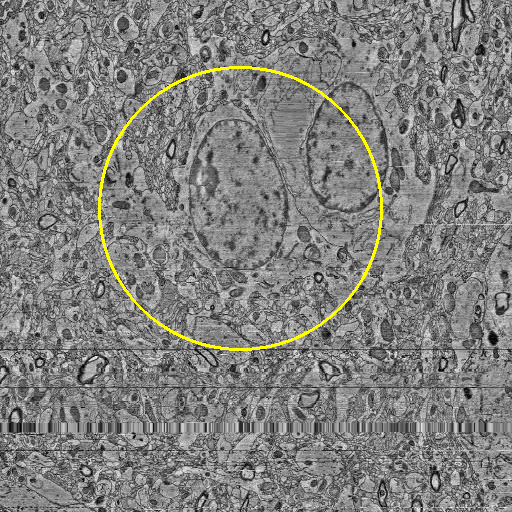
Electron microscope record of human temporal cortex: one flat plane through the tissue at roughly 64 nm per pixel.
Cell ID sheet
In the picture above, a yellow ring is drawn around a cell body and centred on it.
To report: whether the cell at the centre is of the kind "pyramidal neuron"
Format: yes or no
no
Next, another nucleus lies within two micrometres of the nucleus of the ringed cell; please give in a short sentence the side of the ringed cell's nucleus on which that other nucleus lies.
The other nucleus is situated to the right of it.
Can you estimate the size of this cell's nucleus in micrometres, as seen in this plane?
Roughly 10 micrometres long and 6 micrometres wide; in this plane the nucleus is clearly longer than it is wide.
